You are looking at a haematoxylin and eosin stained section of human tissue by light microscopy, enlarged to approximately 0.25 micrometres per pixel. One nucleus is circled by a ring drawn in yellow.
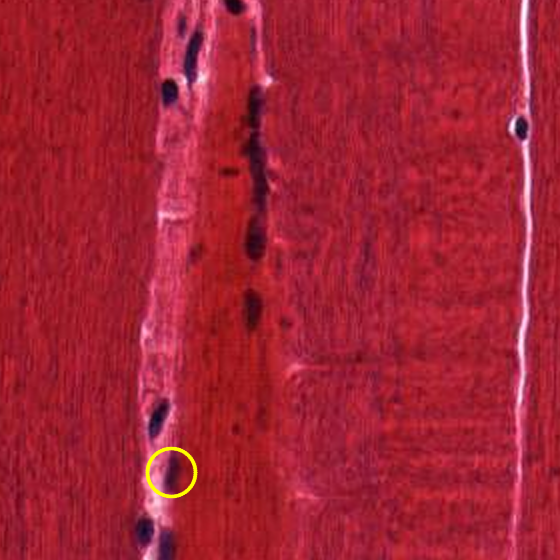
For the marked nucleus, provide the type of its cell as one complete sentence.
The marked nucleus is seen to belong to a skeletal muscle fibre.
